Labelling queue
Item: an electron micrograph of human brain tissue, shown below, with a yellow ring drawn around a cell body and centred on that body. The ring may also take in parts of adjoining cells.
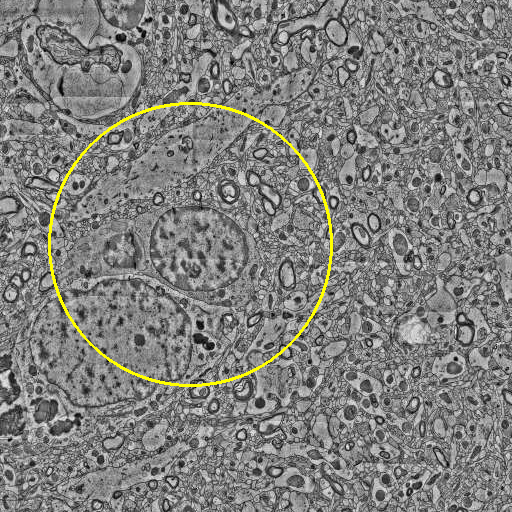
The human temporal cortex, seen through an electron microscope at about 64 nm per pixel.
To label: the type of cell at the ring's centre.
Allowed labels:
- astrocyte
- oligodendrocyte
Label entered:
oligodendrocyte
